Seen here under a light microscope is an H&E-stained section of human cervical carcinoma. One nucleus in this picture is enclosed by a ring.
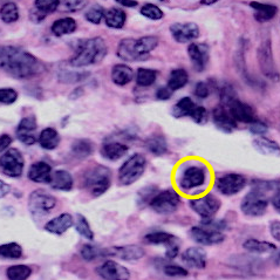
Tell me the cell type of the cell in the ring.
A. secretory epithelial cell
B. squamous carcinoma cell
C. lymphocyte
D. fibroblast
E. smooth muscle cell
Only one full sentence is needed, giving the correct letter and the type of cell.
The correct pick is option C; the cell in the ring is a lymphocyte.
